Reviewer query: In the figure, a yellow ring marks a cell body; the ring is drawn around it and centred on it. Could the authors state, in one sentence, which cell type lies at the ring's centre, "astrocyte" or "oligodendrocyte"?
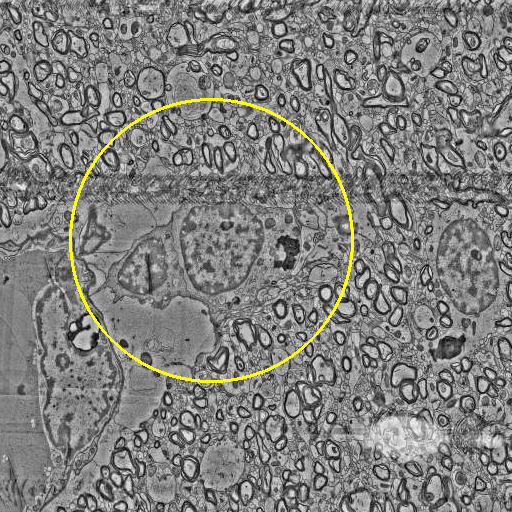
The ring is centred on an oligodendrocyte.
